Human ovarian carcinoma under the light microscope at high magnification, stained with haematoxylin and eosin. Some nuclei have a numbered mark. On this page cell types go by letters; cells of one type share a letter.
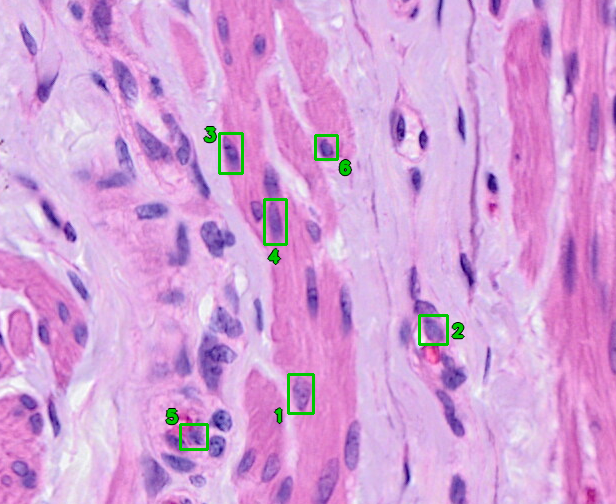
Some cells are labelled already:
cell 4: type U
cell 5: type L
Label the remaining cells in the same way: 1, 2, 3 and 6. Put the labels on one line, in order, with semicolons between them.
type U; type L; type U; type U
